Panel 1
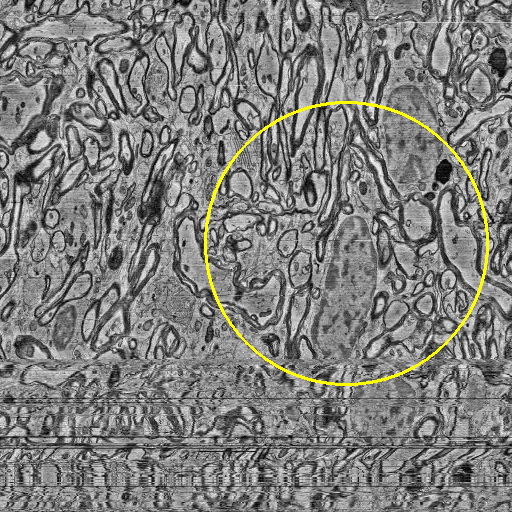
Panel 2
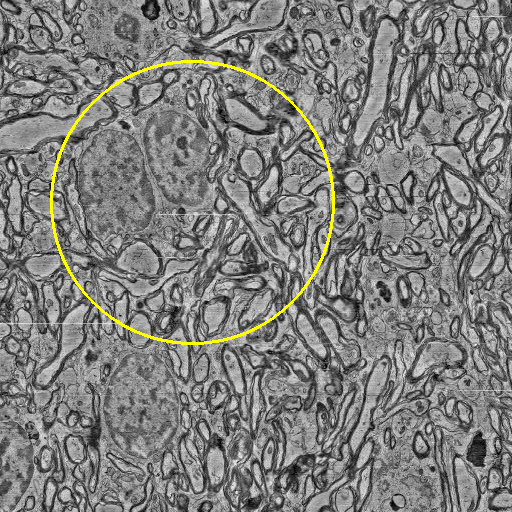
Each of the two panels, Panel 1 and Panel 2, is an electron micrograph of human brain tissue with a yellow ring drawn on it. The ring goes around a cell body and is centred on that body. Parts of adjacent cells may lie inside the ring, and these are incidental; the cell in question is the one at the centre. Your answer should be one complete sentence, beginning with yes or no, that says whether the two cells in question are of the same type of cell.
No, the two cells are of two types.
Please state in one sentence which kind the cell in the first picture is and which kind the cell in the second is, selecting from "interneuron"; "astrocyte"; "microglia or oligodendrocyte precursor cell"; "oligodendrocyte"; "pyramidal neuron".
The first ringed cell is a microglial cell or oligodendrocyte precursor cell, the second ringed cell an oligodendrocyte.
